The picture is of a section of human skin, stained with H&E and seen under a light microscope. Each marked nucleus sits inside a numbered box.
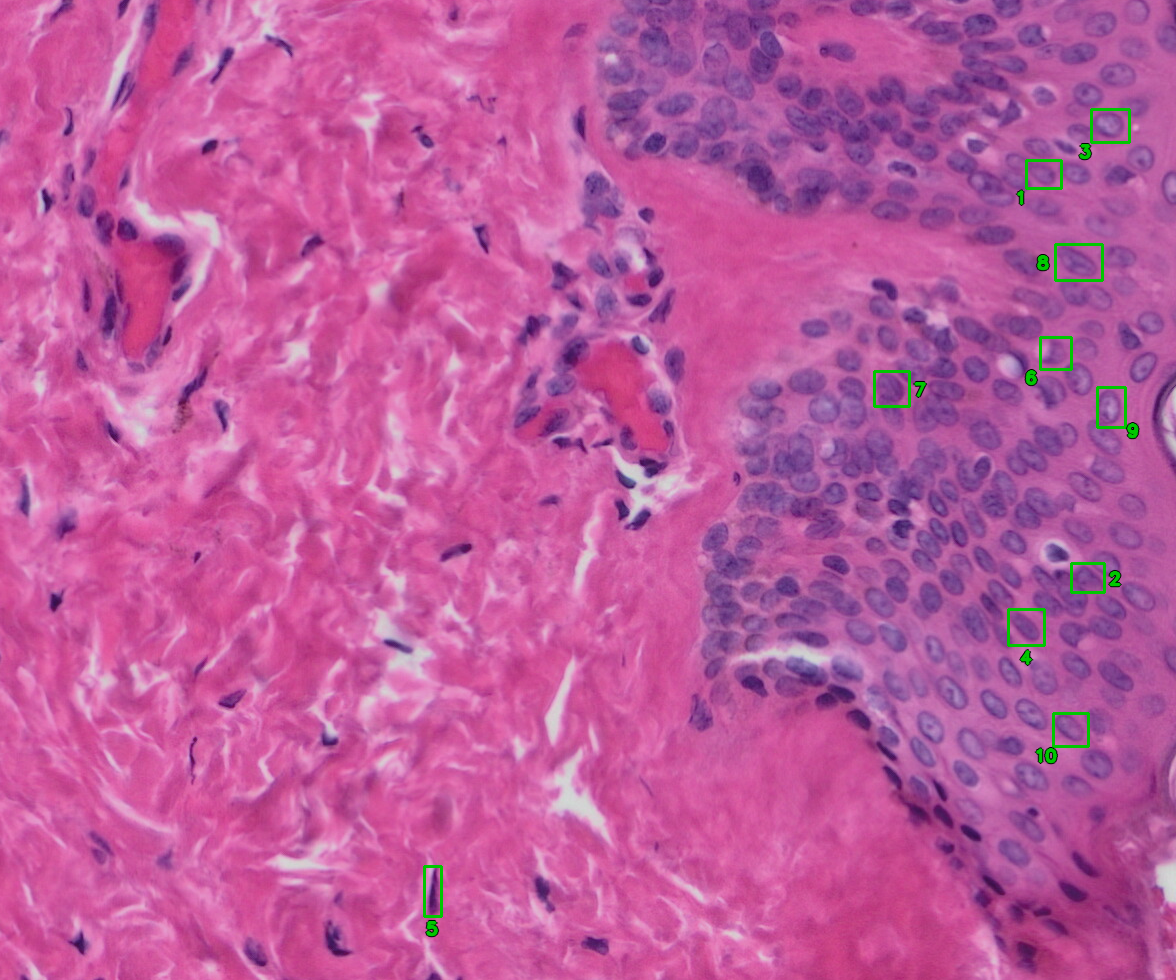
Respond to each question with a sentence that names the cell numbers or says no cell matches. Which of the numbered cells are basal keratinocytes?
Cells 2, 4 and 7 are recognised here as basal keratinocytes.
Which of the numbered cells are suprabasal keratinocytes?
On this slide, the cells numbered 1, 3, 6, 8, 9 and 10 are suprabasal keratinocytes.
